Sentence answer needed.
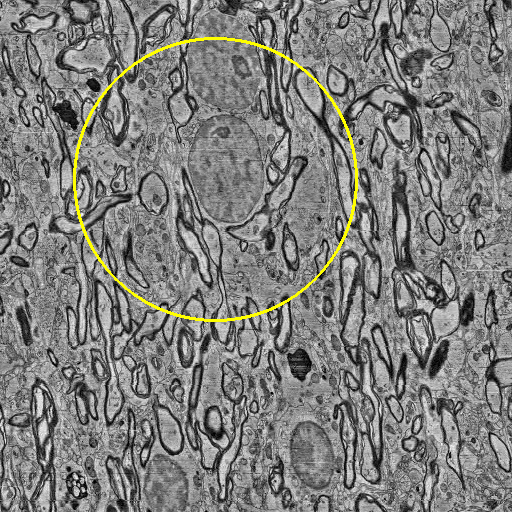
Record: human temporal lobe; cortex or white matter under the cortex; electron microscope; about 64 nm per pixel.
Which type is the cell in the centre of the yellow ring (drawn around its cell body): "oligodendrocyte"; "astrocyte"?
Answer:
In the centre of the yellow ring is an oligodendrocyte.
